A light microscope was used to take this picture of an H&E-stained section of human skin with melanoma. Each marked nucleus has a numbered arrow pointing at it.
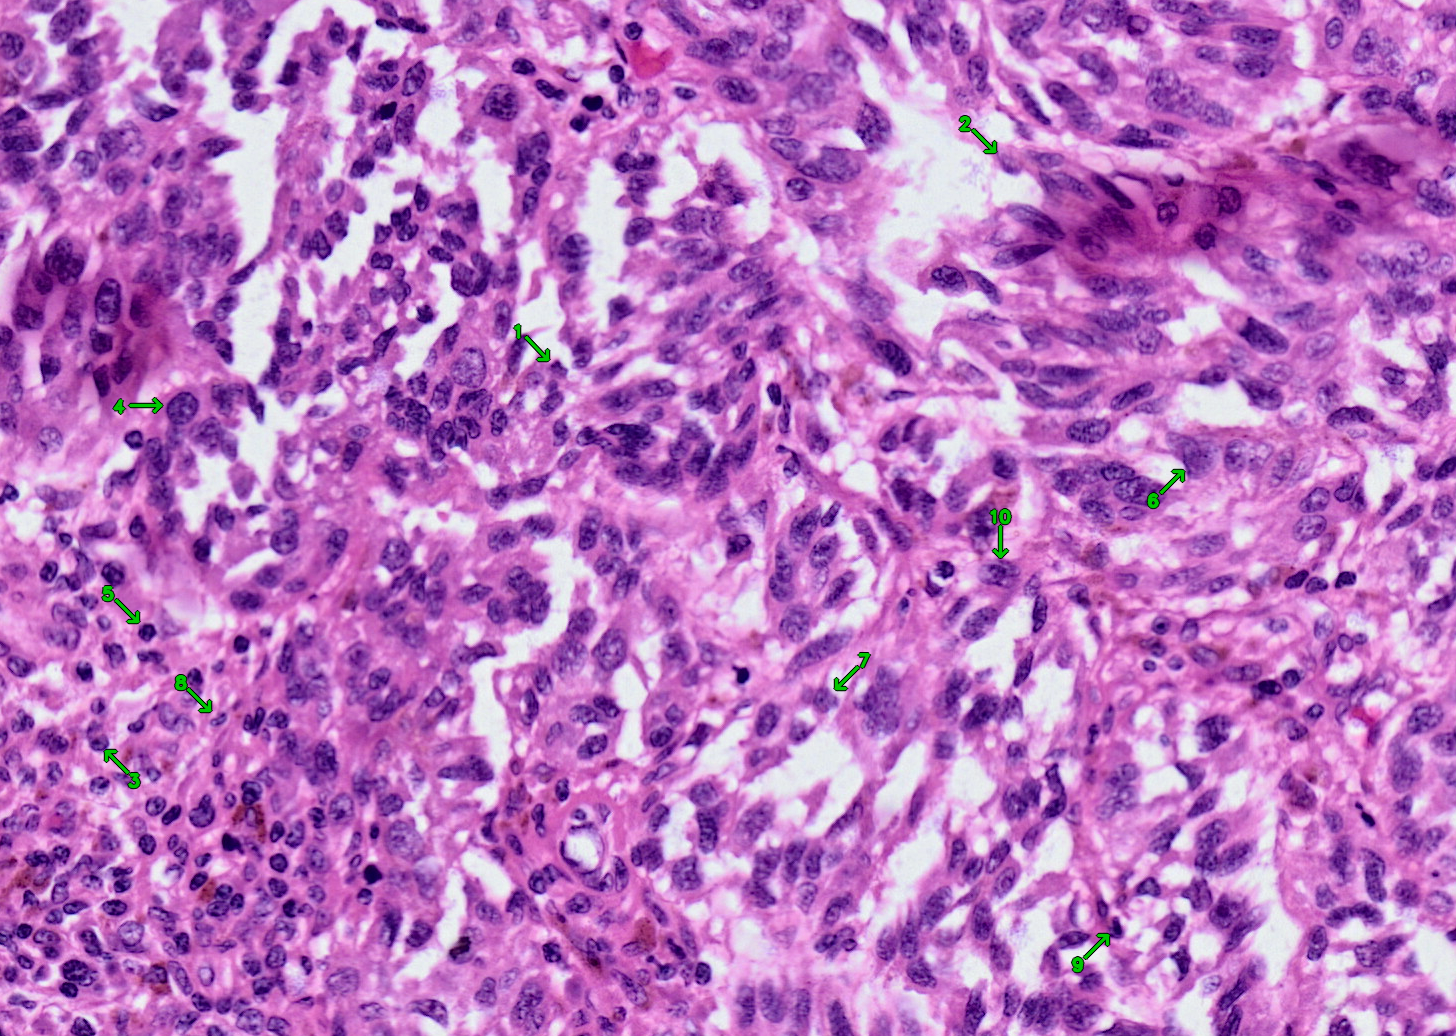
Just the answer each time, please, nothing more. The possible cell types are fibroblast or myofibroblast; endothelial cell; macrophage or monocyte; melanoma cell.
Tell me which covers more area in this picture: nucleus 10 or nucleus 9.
10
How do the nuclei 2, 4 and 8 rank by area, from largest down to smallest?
4, 2, 8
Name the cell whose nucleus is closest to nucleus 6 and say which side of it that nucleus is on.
a melanoma cell to the right of nucleus 6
